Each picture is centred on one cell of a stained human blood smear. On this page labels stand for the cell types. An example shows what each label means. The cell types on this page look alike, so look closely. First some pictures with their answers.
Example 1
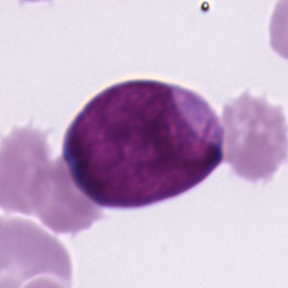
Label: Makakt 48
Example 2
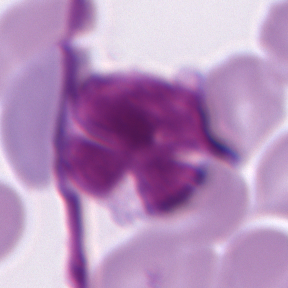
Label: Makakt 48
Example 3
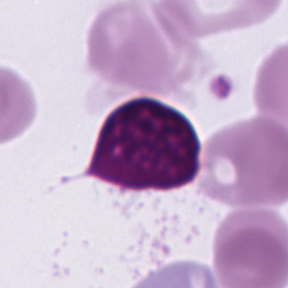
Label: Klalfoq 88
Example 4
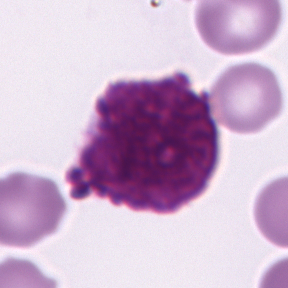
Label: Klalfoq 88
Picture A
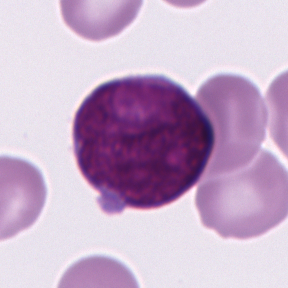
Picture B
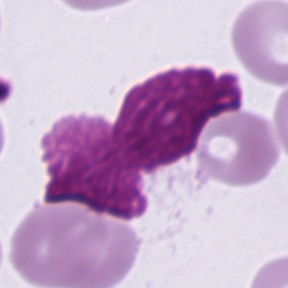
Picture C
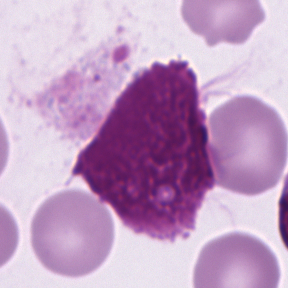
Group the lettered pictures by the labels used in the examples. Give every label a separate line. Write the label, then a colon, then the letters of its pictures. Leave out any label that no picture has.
Makakt 48: A
Klalfoq 88: B, C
